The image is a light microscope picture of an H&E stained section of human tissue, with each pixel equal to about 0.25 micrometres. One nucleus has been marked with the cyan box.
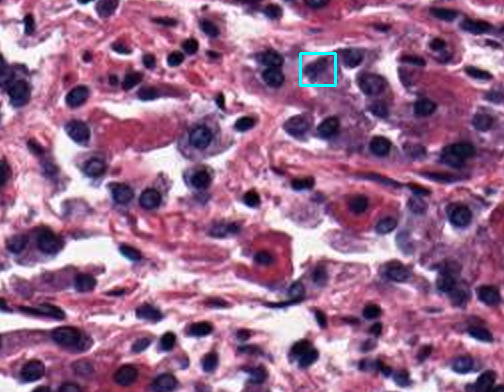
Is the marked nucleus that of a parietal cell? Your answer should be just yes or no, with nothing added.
no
